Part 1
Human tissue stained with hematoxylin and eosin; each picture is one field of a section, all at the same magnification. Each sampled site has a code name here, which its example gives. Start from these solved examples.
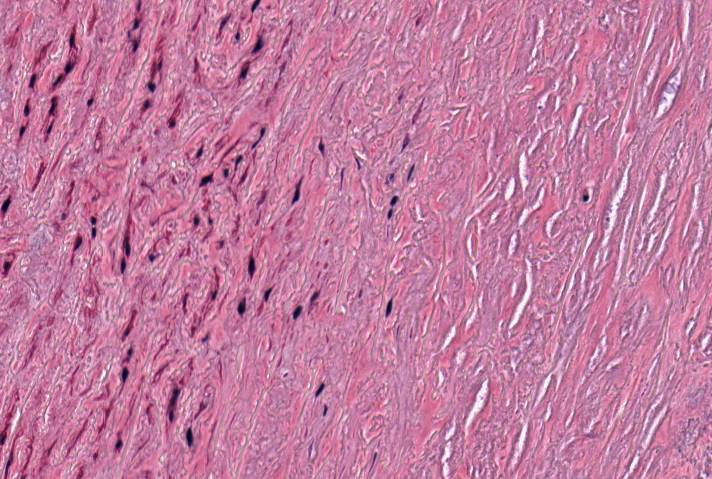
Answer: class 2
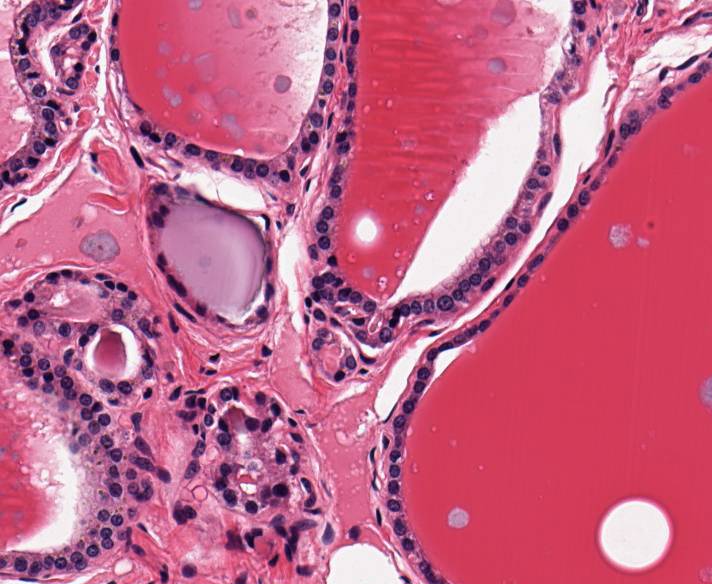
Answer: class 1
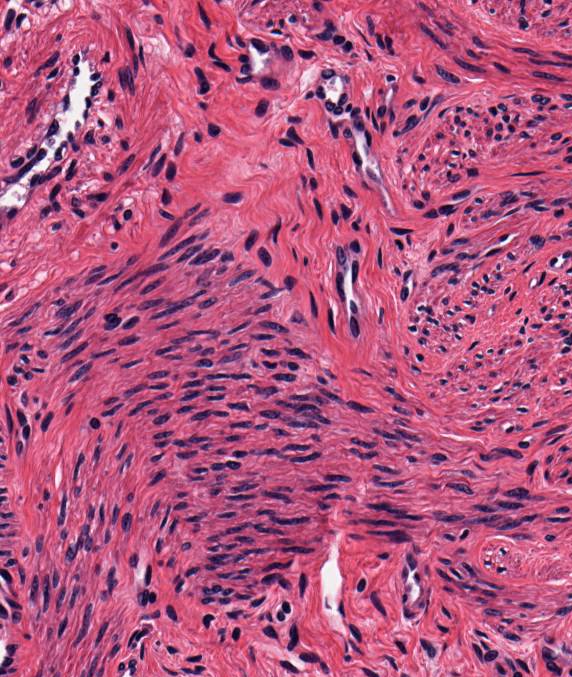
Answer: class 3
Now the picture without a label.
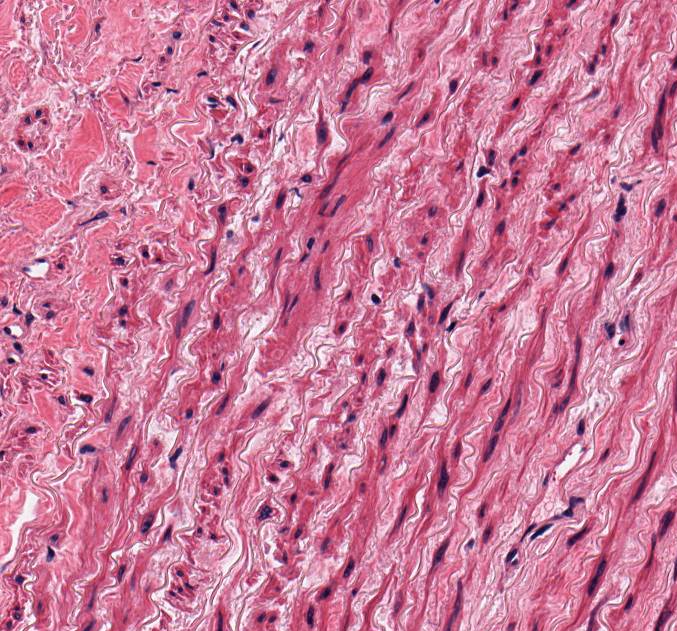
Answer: class 2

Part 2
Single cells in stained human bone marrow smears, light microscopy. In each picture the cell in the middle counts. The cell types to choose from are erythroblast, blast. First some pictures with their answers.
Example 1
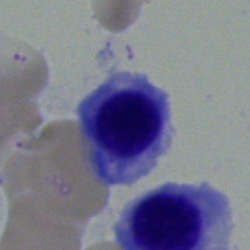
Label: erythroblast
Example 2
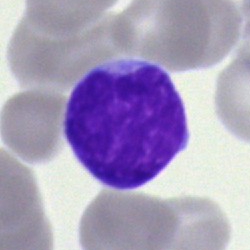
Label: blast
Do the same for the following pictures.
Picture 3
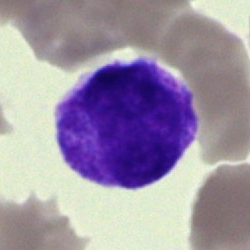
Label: blast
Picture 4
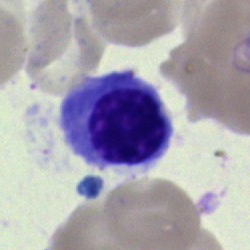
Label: erythroblast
